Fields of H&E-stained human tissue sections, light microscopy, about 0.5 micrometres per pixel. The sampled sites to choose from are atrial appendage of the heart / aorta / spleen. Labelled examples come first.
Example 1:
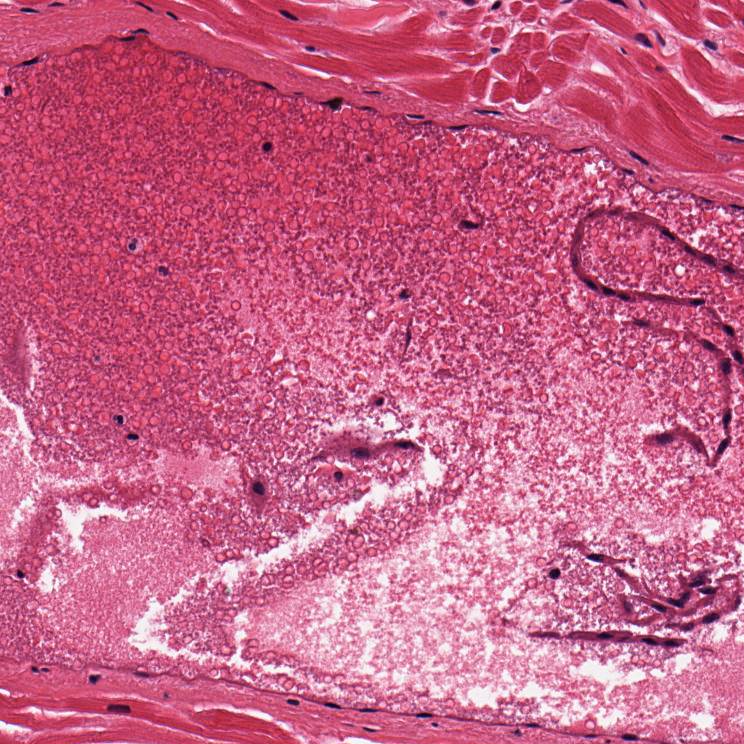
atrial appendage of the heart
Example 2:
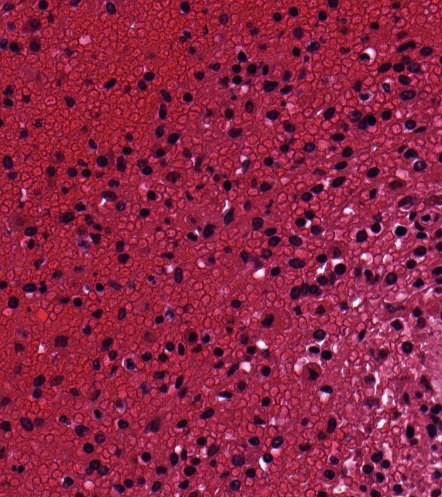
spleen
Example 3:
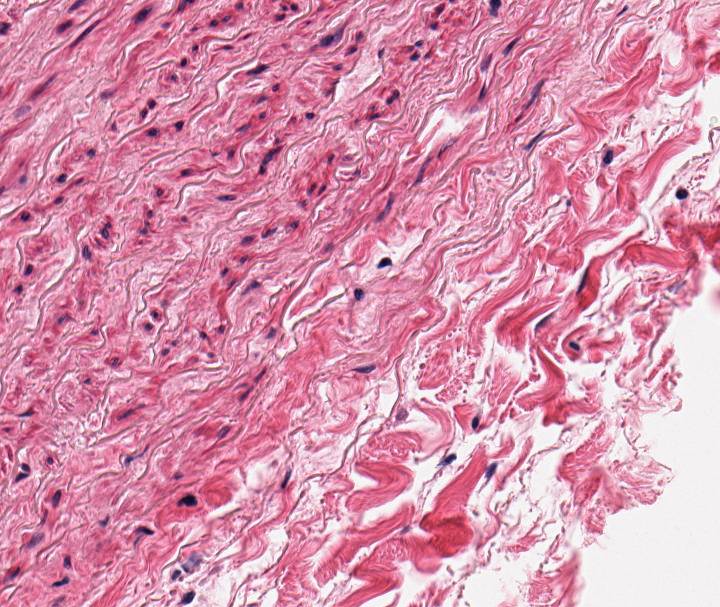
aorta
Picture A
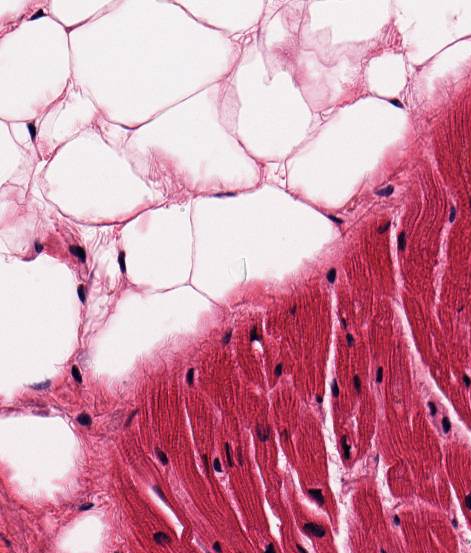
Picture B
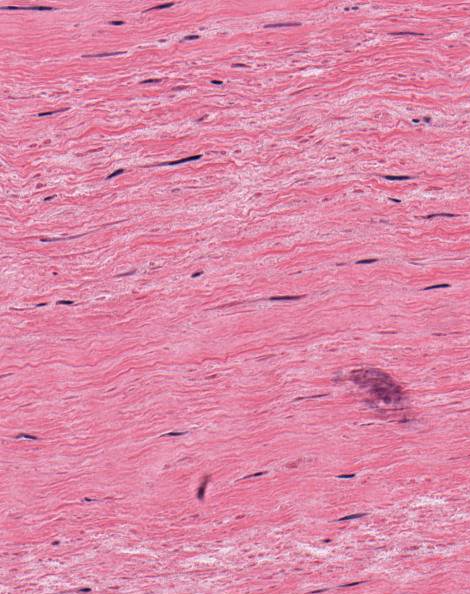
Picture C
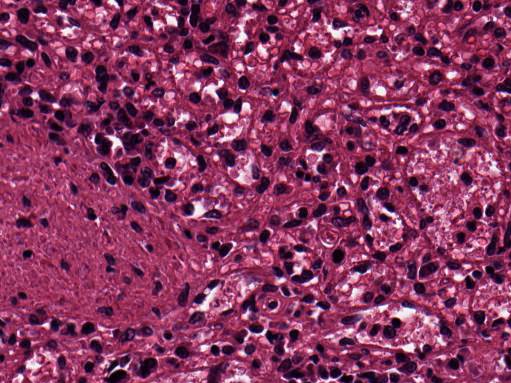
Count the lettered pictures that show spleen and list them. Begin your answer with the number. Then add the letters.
Count: 1 (C)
